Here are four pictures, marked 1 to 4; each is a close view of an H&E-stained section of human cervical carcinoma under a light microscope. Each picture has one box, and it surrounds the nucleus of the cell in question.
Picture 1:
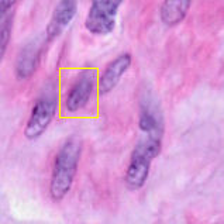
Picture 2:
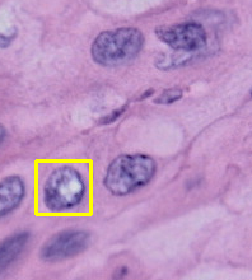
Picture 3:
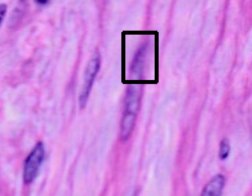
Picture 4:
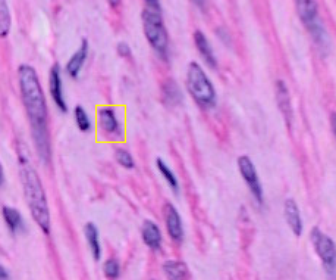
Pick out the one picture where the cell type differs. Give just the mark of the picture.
2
